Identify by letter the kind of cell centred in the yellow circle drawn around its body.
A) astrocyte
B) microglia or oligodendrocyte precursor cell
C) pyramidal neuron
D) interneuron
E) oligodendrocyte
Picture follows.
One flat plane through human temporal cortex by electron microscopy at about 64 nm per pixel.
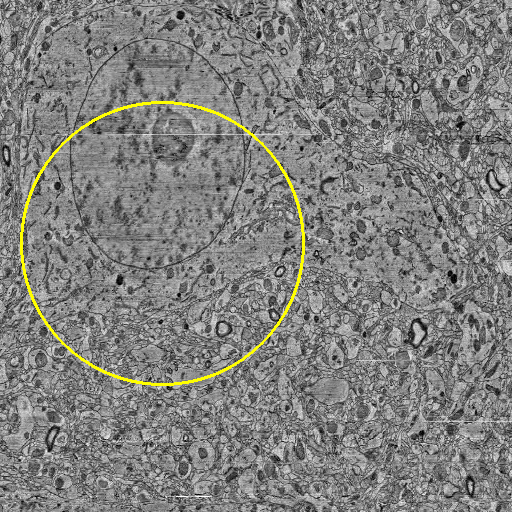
C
